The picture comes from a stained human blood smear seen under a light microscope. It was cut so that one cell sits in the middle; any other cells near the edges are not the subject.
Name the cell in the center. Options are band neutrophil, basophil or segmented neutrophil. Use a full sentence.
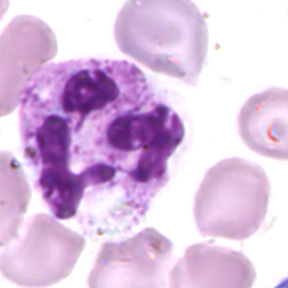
The cell marked by its central position in the crop is a segmented neutrophil.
